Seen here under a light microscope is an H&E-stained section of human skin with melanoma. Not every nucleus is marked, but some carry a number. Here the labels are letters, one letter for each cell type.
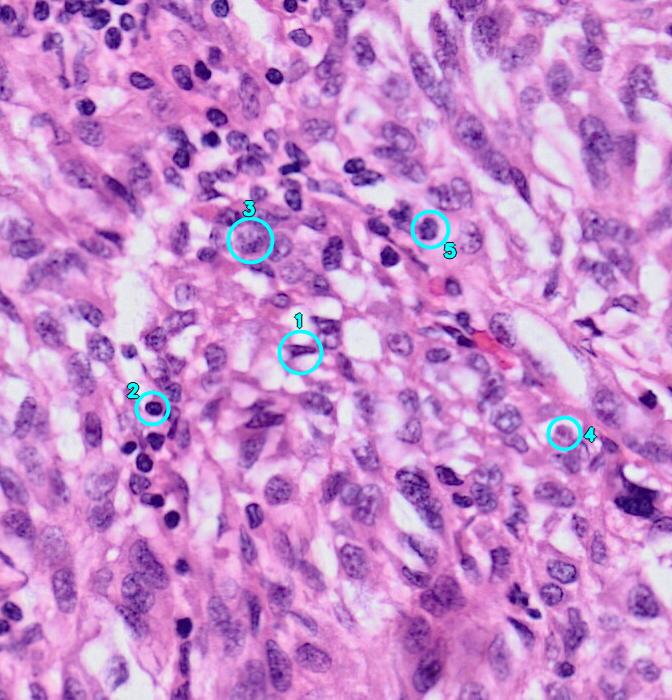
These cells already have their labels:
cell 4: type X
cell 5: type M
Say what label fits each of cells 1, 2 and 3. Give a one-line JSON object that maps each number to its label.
{"1": "type X", "2": "type M", "3": "type X"}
